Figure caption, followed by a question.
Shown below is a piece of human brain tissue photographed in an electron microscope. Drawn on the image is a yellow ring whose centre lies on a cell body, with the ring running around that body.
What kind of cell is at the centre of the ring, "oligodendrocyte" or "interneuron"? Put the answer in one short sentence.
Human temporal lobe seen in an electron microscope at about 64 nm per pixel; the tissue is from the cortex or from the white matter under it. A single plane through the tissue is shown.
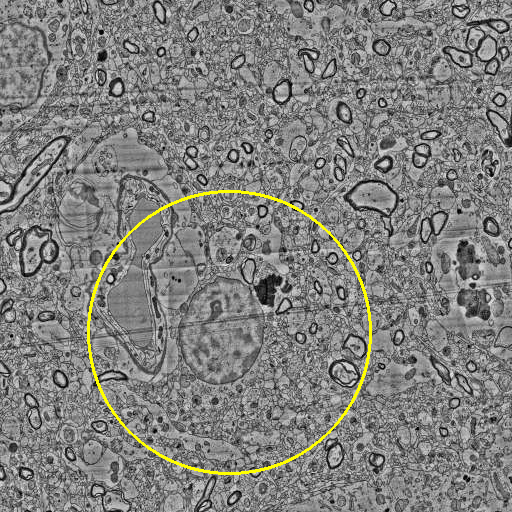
The ring marks the cell body of an oligodendrocyte.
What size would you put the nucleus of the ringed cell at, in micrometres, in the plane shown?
Approximately 7 x 5 micrometres in this plane.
